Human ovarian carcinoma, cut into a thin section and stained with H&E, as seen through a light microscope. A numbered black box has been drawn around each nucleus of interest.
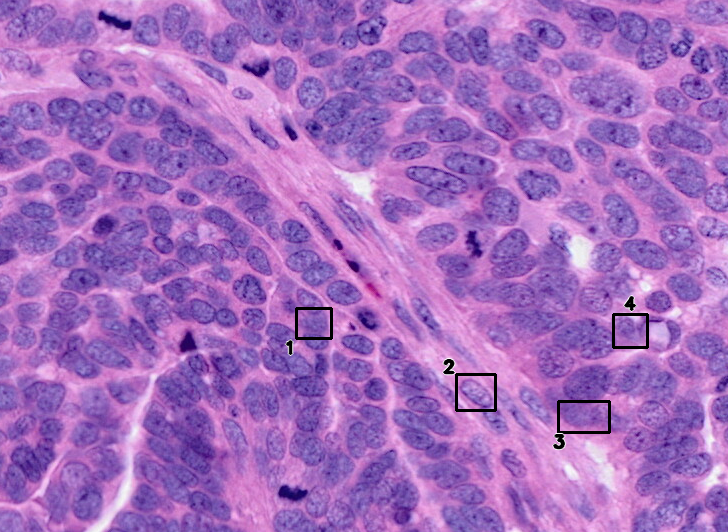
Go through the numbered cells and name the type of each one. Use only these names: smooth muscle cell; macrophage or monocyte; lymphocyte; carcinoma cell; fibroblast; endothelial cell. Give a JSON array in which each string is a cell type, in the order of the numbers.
["carcinoma cell", "fibroblast", "carcinoma cell", "carcinoma cell"]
